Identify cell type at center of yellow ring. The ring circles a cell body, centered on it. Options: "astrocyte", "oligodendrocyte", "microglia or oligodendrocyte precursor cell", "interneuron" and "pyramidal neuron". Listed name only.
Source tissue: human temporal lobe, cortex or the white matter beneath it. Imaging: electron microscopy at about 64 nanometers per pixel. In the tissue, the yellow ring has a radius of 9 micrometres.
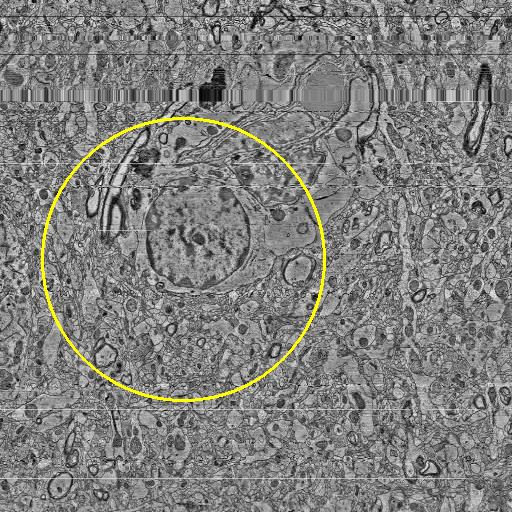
microglia or oligodendrocyte precursor cell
